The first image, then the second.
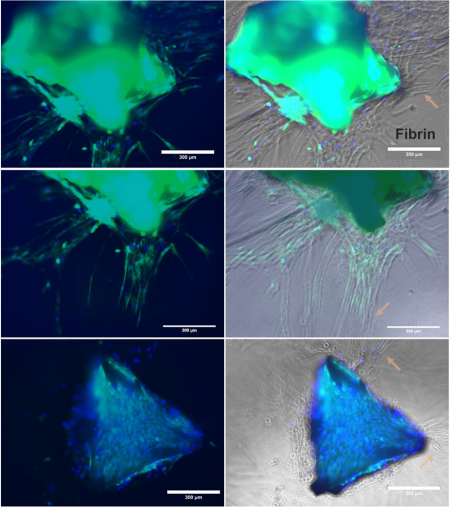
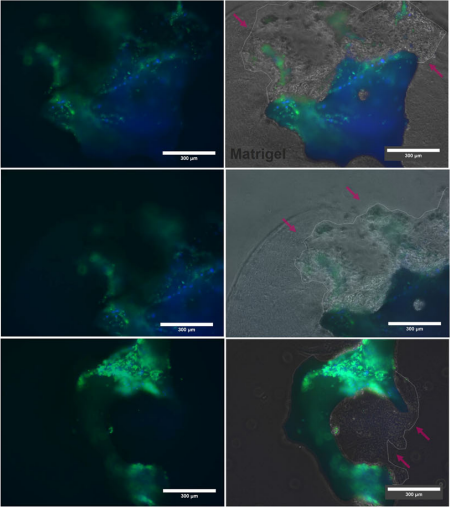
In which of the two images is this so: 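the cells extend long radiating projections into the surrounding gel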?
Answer: The first image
